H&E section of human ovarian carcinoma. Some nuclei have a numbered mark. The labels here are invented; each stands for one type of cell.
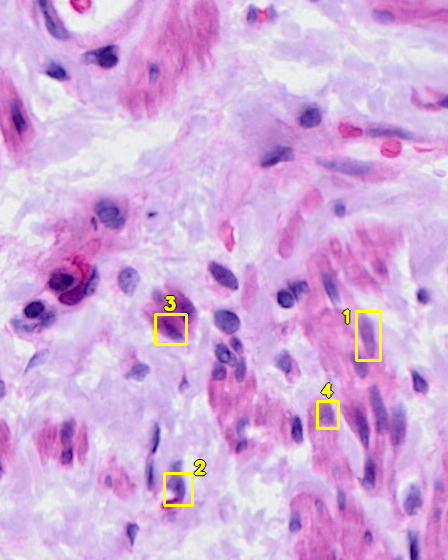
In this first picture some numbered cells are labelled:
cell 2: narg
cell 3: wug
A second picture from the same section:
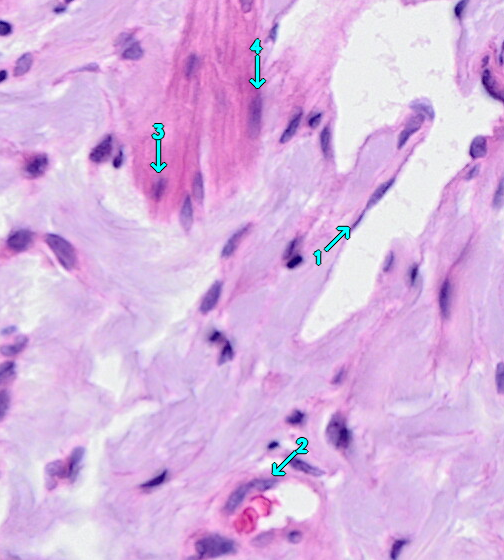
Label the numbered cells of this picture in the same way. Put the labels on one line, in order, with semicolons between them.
narg; narg; wug; wug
